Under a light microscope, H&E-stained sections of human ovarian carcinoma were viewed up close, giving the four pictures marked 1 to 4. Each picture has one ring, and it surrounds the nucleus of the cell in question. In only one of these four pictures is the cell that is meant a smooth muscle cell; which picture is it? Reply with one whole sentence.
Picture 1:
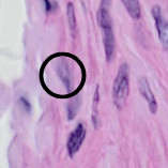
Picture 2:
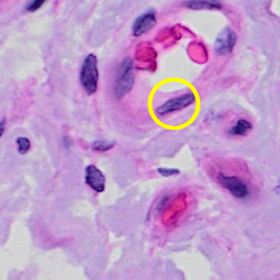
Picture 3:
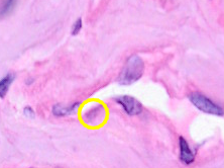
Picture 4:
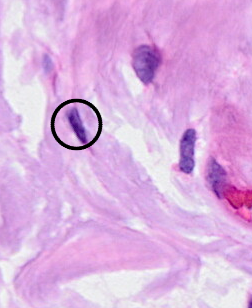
The picture with the smooth muscle cell is 1.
